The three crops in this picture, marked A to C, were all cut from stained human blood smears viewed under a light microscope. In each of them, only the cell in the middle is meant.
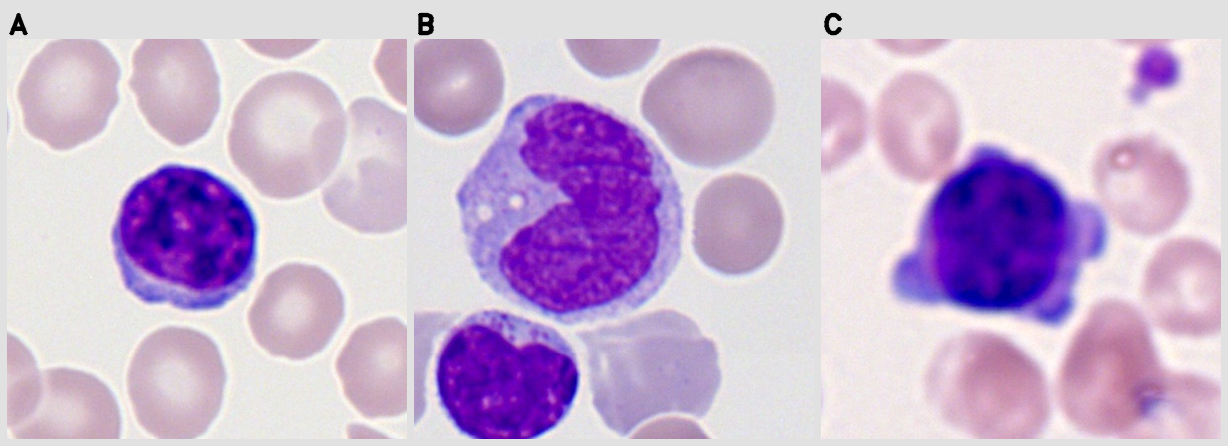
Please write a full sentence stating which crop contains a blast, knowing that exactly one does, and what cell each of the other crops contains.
Crop C should be logged as a blast, while crop A is a lymphocyte and crop B is a monocyte.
